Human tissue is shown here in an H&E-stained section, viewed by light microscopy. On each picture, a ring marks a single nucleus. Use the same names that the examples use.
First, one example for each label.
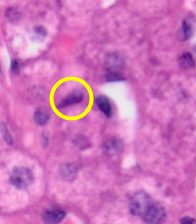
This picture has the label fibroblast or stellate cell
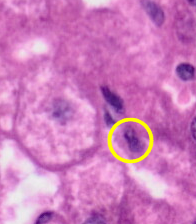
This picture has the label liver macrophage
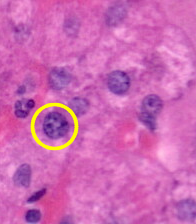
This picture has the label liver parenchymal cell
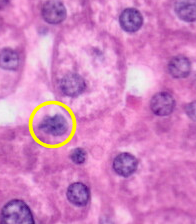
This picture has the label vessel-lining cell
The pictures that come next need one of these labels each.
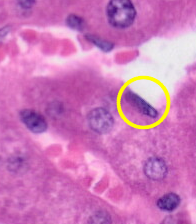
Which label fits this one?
vessel-lining cell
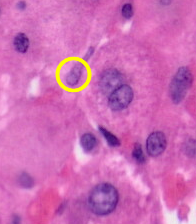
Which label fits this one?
liver macrophage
